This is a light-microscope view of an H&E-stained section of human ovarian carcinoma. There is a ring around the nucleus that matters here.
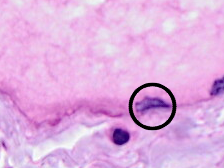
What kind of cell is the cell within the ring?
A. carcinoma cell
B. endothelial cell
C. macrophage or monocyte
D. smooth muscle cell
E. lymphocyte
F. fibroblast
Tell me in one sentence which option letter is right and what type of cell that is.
Option B, identifying the cell within the ring as an endothelial cell, is correct.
